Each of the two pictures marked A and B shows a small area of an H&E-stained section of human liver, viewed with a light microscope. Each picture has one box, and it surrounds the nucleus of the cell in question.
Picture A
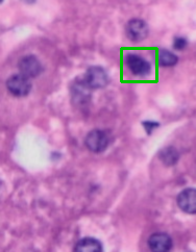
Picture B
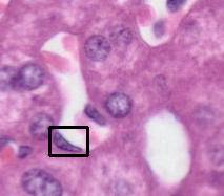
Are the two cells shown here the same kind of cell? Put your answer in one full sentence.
No; the cell in picture A is a “fibroblast or stellate cell”, while the one in picture B is an endothelial cell.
